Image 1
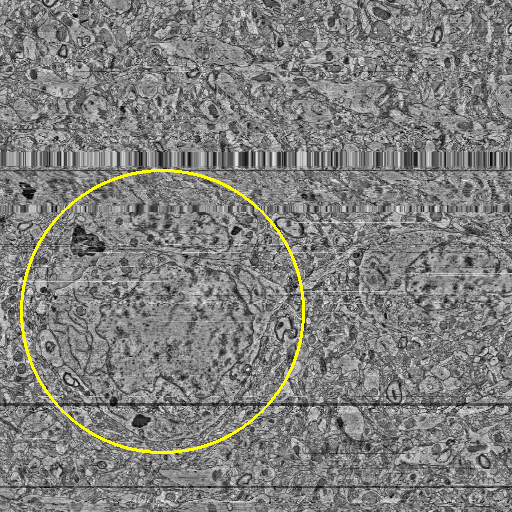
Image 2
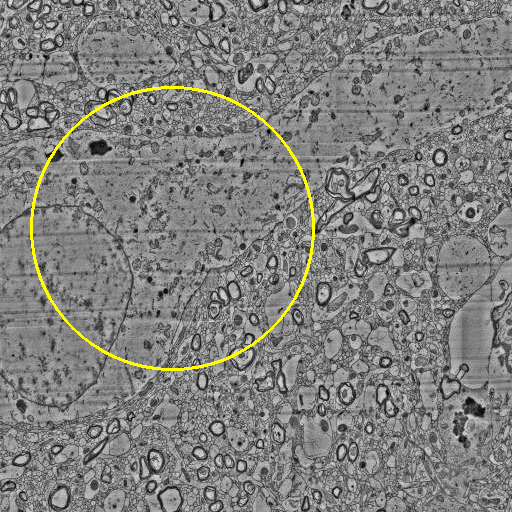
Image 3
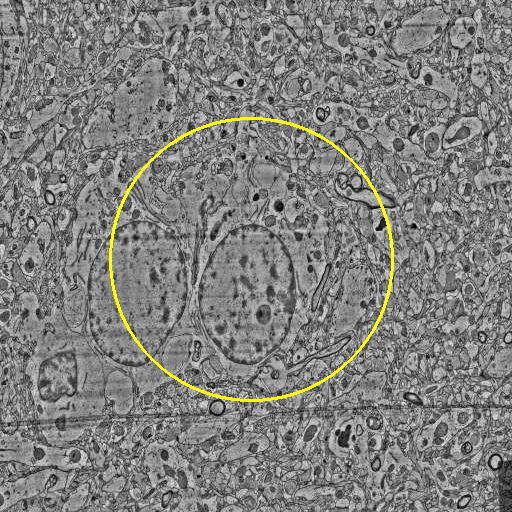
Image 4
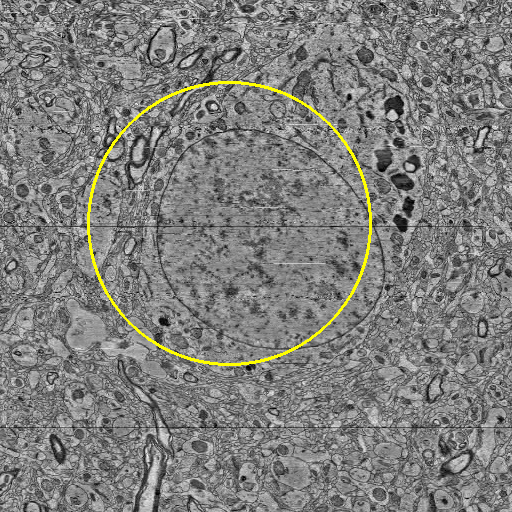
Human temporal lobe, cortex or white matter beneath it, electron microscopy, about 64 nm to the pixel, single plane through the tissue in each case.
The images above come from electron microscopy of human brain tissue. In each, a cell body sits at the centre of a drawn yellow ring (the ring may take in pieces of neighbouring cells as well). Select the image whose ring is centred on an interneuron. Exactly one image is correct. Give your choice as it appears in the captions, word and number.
Image 1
